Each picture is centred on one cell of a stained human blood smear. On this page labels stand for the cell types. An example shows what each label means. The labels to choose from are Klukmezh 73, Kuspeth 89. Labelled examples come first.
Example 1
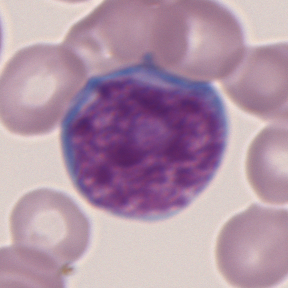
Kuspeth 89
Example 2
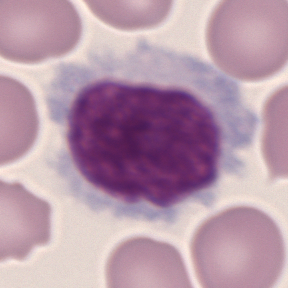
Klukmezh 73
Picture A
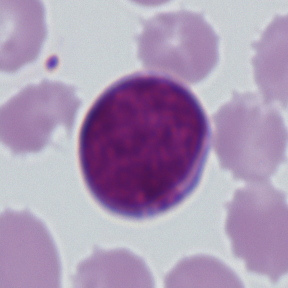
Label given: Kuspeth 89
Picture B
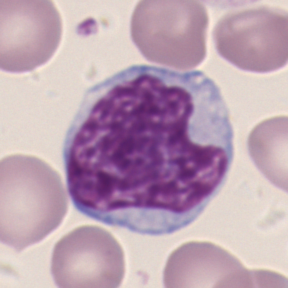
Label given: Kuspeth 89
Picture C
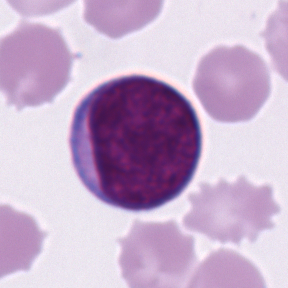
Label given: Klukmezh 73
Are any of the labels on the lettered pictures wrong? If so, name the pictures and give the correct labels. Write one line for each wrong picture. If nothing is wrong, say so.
C: change Klukmezh 73 to Kuspeth 89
